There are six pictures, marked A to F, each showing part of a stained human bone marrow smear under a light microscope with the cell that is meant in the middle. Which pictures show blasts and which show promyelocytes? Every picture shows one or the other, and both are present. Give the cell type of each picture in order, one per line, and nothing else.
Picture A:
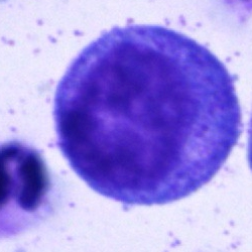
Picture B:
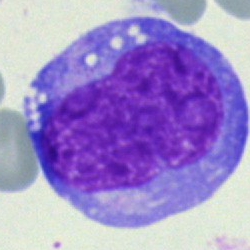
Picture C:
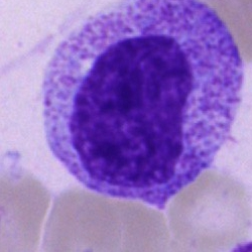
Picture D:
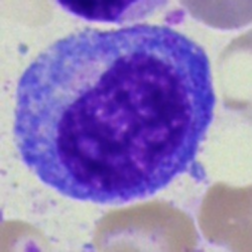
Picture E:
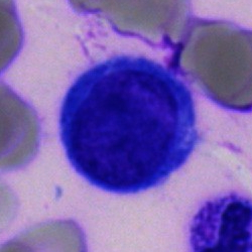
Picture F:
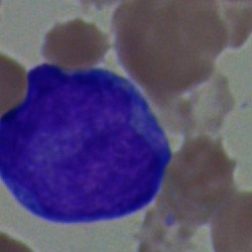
promyelocyte
blast
promyelocyte
promyelocyte
blast
blast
